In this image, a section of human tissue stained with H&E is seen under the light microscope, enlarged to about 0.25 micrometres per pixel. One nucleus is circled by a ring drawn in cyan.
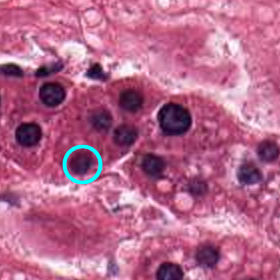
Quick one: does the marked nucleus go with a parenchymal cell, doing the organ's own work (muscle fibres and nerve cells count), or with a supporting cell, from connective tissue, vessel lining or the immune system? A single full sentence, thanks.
The marked nucleus is located in a parenchymal cell, namely an adrenal cortical cell.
